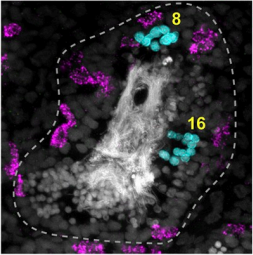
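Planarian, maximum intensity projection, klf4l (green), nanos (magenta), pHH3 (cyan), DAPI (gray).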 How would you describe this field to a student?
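A lobe of testis outlined by a dashed line, with germ cells arranged from periphery toward the centre. Two compact groups of cyan condensed nuclei, one smaller and one larger, lie between the edge and the central mass. Many small gray nuclei pack the space between.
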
